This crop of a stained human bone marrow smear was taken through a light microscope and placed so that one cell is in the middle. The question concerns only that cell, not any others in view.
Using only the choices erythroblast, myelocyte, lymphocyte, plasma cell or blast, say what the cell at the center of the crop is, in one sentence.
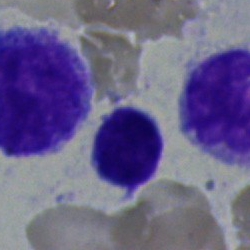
The cell centered in this field of view is a lymphocyte.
